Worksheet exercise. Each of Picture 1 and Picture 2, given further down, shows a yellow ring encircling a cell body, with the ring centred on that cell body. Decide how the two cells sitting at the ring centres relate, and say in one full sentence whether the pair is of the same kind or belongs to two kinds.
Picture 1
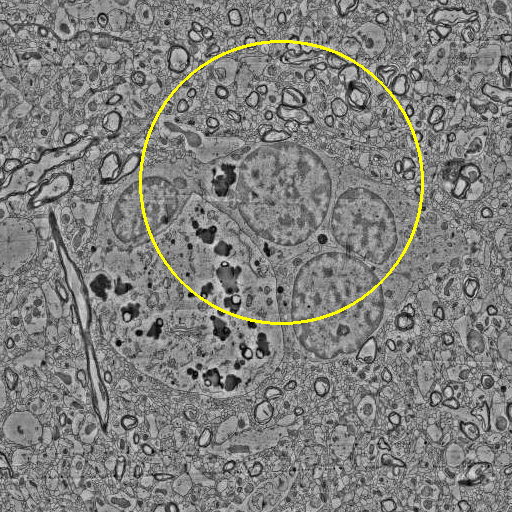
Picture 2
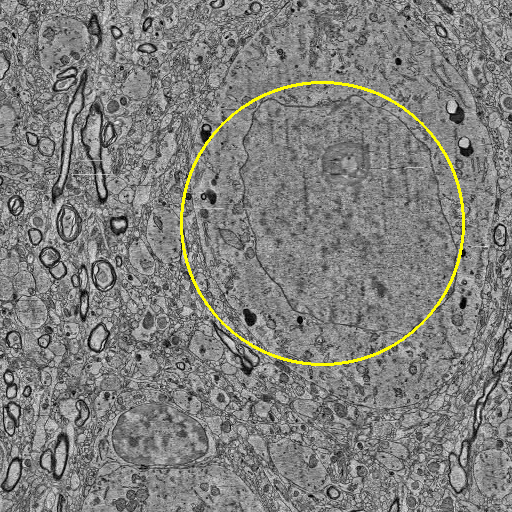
The cells at the ring centres in Picture 1 and Picture 2 belong to two kinds.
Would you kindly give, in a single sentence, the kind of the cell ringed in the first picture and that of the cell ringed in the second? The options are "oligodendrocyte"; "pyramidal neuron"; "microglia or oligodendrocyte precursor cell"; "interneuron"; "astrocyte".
The second cell is a pyramidal neuron, and the first cell is an oligodendrocyte.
